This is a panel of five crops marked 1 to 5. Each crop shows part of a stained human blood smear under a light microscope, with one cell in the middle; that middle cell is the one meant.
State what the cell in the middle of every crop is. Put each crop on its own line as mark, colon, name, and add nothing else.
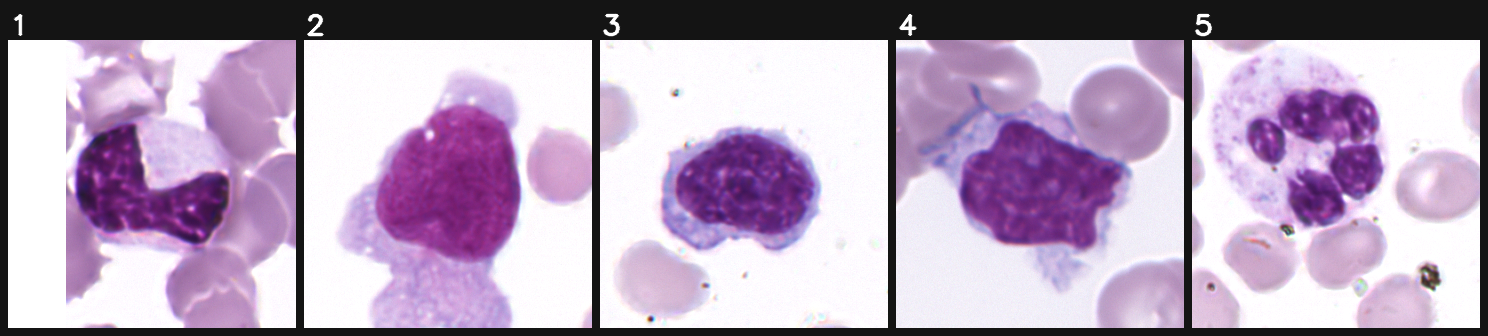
1: band neutrophil
2: atypical promyelocyte
3: plasma cell
4: hairy cell
5: segmented neutrophil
